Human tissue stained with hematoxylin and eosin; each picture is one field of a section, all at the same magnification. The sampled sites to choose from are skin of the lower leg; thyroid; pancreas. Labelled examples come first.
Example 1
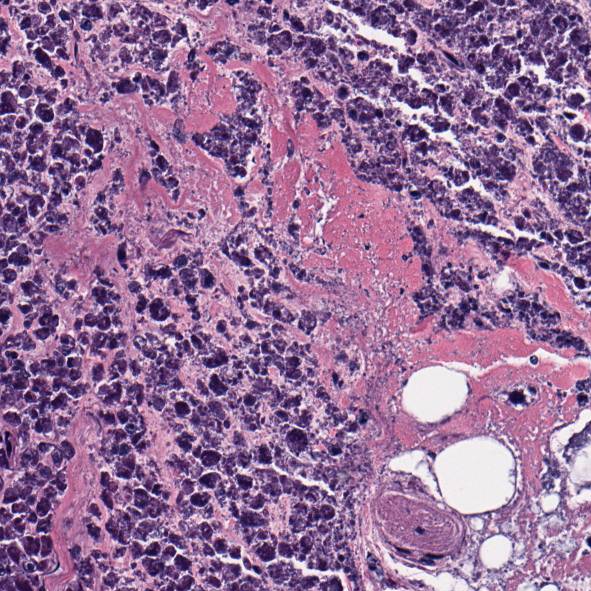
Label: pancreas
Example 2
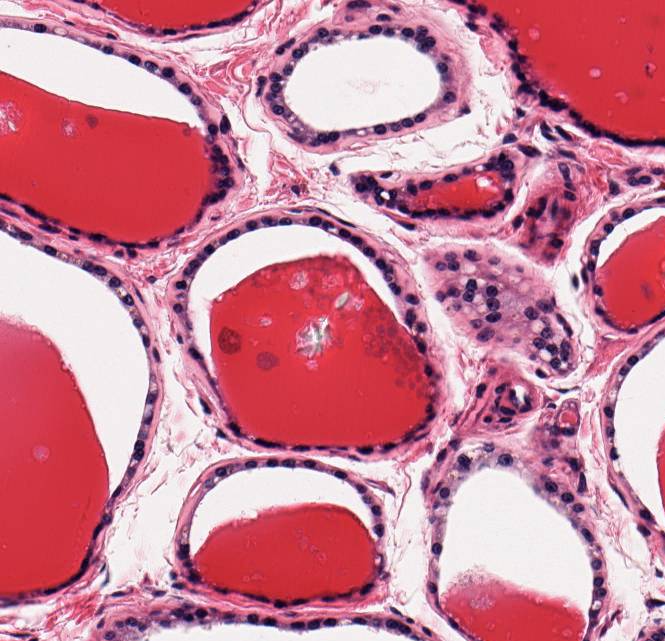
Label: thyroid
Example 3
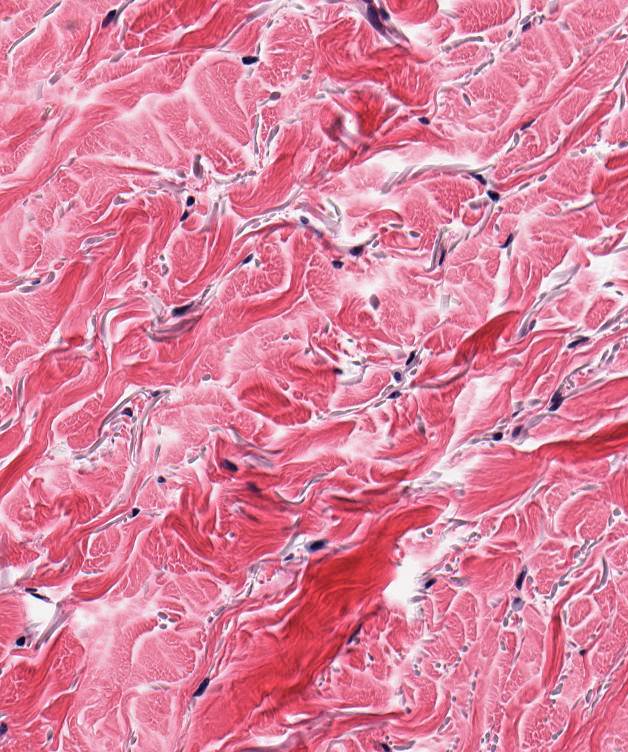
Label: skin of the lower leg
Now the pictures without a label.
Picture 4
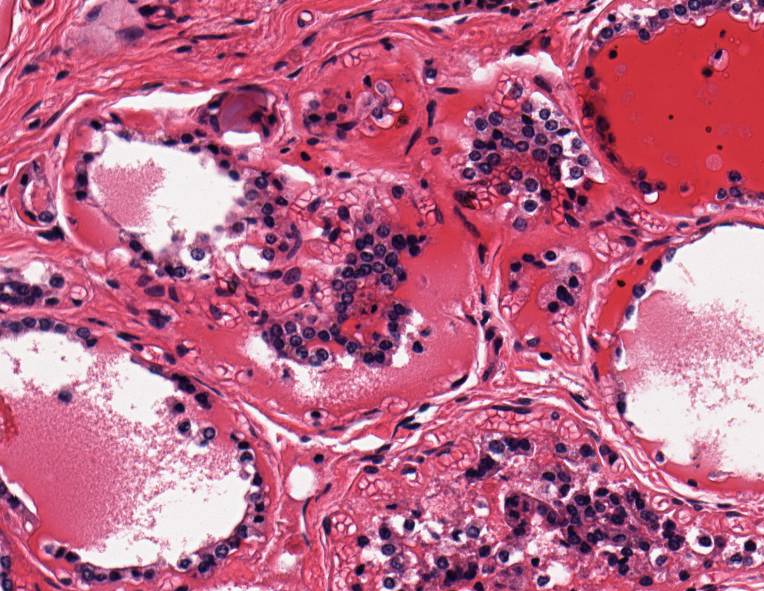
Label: thyroid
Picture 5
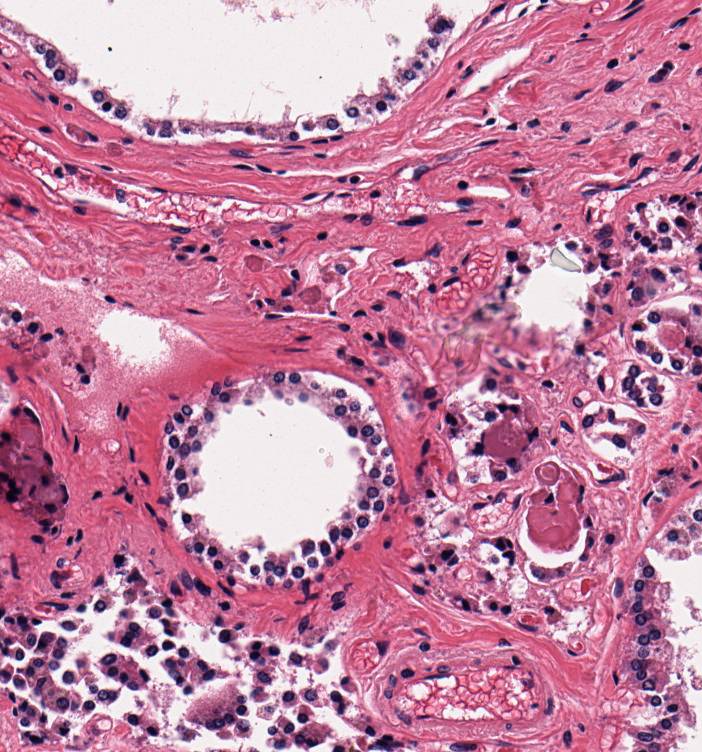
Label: thyroid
